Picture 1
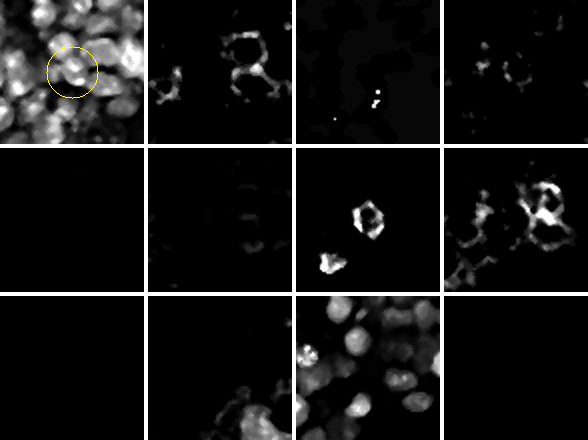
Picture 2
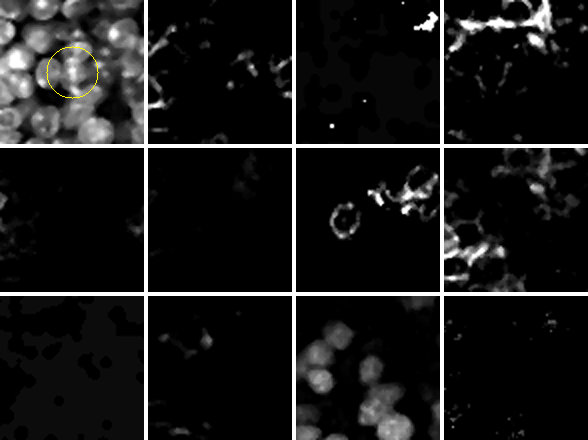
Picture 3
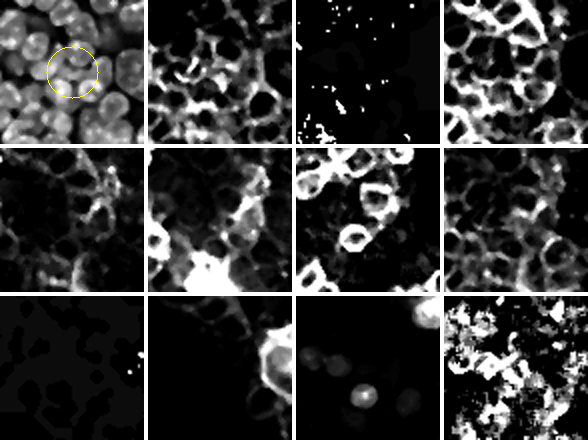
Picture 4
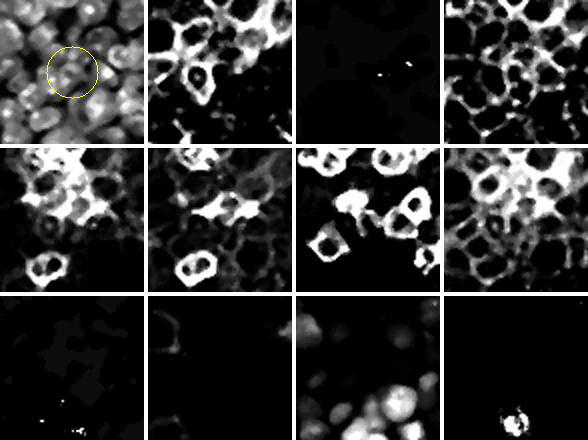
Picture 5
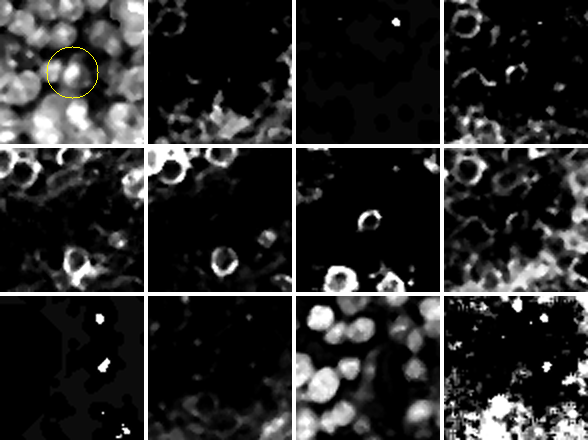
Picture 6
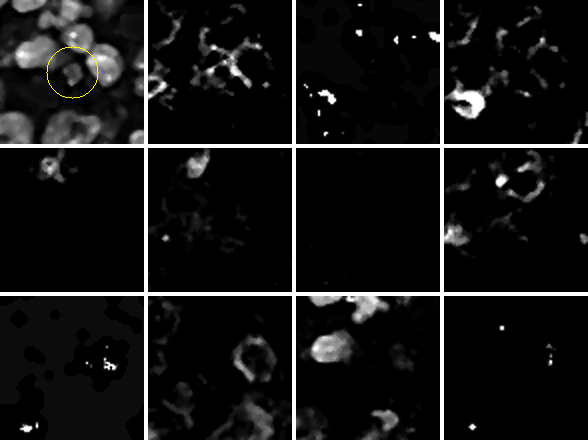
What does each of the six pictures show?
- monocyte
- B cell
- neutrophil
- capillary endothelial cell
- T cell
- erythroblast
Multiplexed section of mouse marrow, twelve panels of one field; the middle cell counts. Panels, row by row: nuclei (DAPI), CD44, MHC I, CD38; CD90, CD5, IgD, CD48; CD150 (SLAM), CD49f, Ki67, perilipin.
1. B cell
2. erythroblast
3. monocyte
4. T cell
5. B cell
6. neutrophil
